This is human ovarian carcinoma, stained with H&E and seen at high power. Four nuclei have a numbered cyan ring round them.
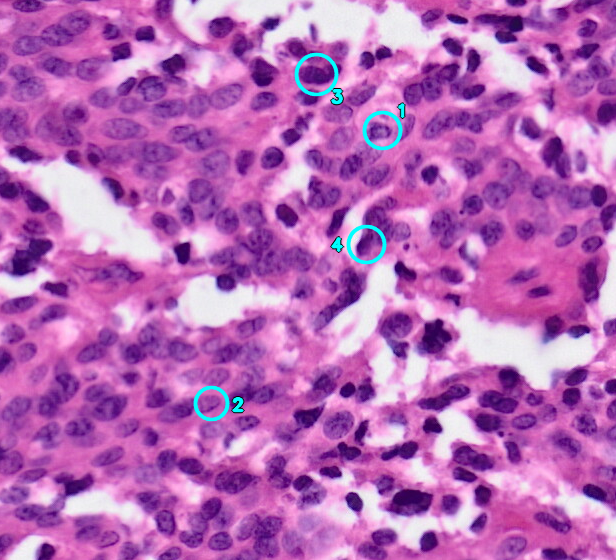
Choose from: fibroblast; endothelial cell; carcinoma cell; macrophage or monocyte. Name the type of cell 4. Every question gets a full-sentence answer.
In the tissue shown, cell 4 is a carcinoma cell.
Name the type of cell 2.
Heads up, the cell numbered 2 is a carcinoma cell.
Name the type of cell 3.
Within this field of view, the cell labelled 3 is a carcinoma cell.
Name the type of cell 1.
The mark numbered 1 indicates the nucleus of a macrophage or monocyte.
